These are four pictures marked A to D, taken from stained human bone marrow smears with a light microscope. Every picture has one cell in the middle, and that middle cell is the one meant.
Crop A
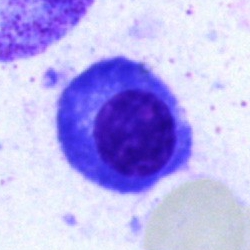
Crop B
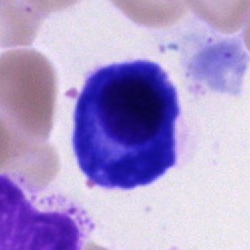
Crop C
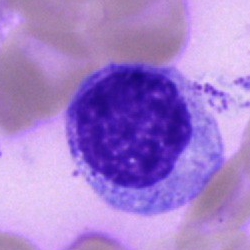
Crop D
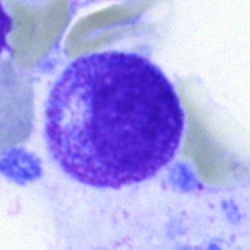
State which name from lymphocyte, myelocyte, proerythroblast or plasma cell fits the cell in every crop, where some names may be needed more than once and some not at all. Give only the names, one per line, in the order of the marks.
plasma cell
plasma cell
myelocyte
myelocyte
